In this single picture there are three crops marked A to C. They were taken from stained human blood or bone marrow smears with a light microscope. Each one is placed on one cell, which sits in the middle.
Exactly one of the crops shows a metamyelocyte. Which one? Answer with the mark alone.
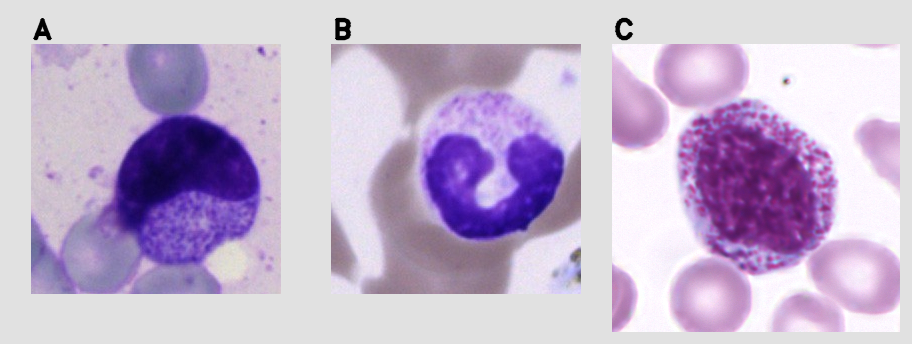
A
